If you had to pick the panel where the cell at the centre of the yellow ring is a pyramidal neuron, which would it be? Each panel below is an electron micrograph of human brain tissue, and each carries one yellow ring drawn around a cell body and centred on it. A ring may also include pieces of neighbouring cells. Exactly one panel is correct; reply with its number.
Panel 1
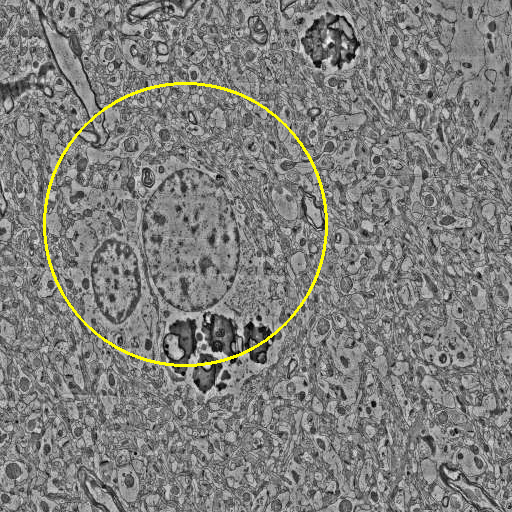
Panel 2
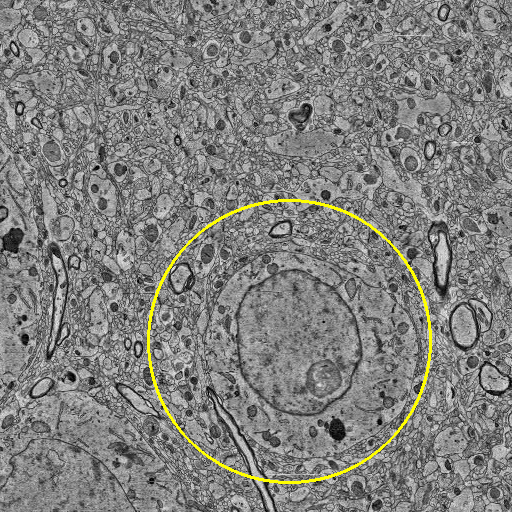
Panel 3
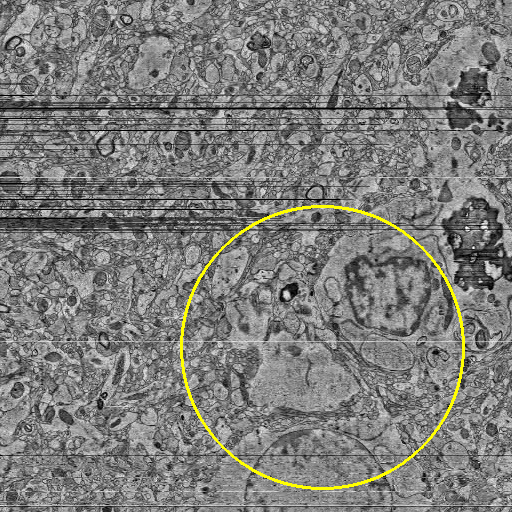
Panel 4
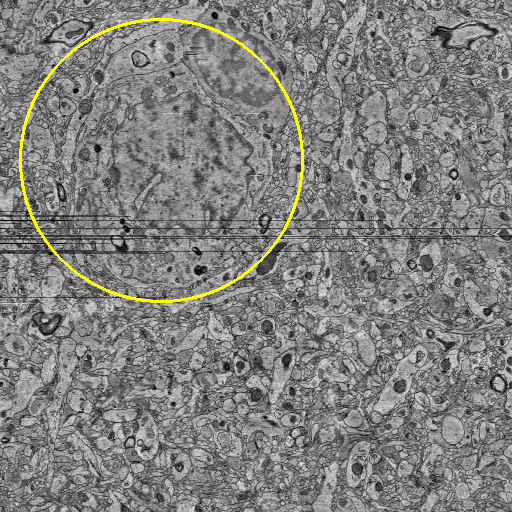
2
